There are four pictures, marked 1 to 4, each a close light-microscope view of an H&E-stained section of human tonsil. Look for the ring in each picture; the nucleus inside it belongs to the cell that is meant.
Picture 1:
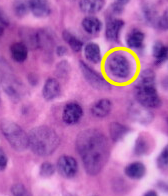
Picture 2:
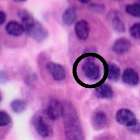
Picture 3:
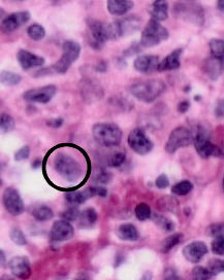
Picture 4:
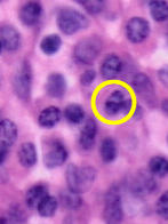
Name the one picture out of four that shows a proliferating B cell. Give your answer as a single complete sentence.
The proliferating B cell is the one in picture 3.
